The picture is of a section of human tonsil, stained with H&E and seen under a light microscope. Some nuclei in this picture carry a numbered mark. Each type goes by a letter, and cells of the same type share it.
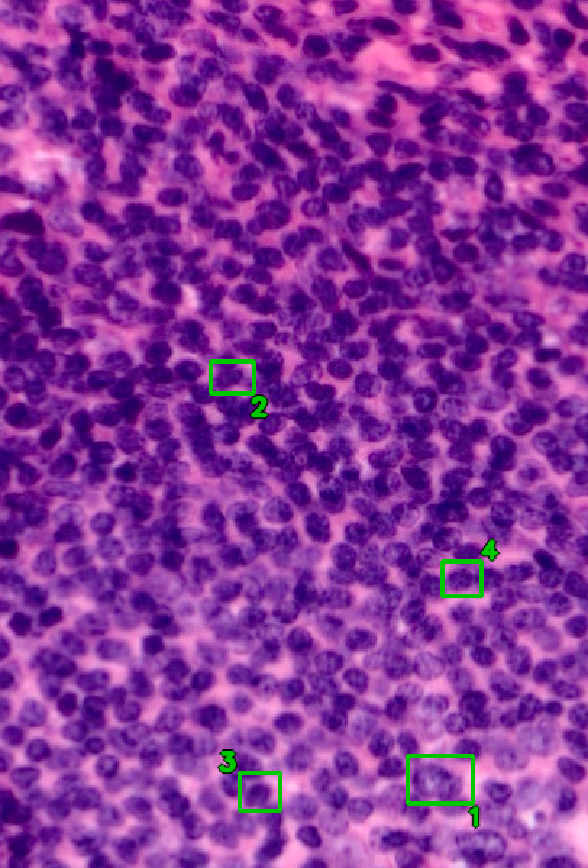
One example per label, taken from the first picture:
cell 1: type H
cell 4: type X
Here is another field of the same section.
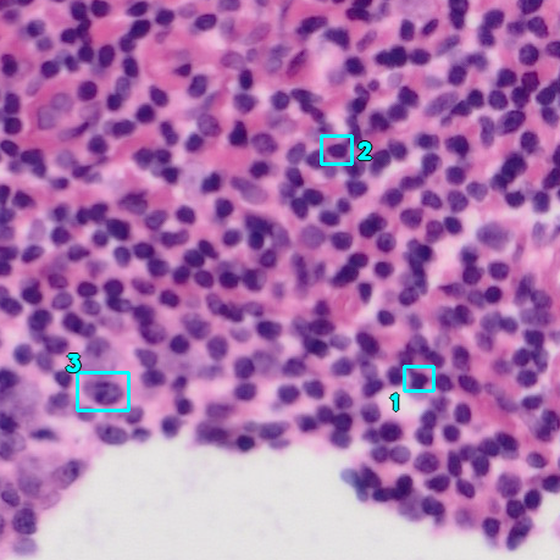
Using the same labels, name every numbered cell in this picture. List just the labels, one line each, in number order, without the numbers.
type X
type X
type H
